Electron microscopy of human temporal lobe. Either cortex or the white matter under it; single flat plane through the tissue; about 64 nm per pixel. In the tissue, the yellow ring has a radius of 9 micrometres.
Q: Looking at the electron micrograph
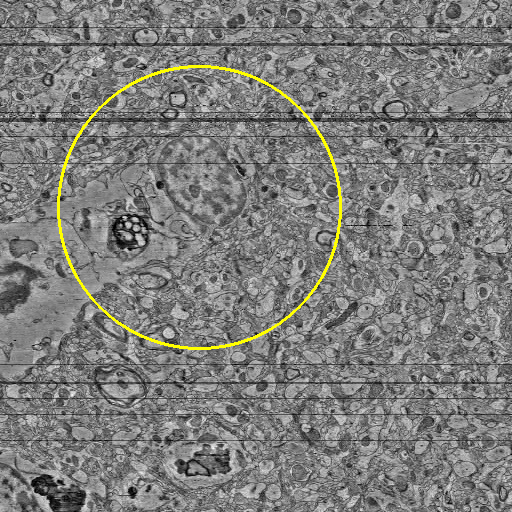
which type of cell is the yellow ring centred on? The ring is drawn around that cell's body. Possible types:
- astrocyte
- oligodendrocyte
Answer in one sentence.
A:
The yellow ring is centred on an oligodendrocyte.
